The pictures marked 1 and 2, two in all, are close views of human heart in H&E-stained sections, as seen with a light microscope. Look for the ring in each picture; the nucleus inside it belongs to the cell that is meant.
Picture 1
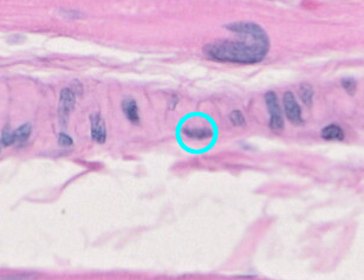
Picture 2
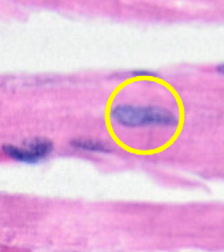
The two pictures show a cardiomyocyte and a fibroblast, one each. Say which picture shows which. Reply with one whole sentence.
Picture 1 shows a fibroblast and picture 2 shows a cardiomyocyte.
